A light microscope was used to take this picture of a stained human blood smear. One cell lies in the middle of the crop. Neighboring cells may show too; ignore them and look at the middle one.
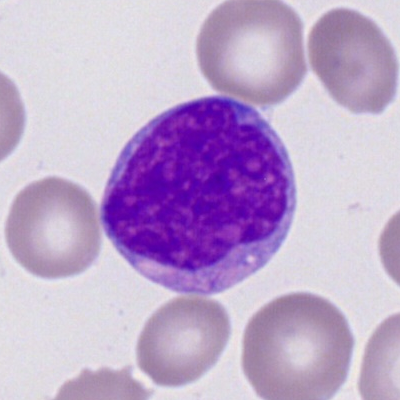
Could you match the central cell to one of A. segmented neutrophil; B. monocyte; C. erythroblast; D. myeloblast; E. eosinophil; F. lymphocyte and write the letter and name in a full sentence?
This one is option D, since the cell at the center is a myeloblast.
